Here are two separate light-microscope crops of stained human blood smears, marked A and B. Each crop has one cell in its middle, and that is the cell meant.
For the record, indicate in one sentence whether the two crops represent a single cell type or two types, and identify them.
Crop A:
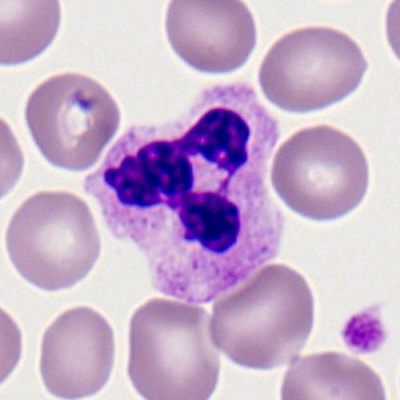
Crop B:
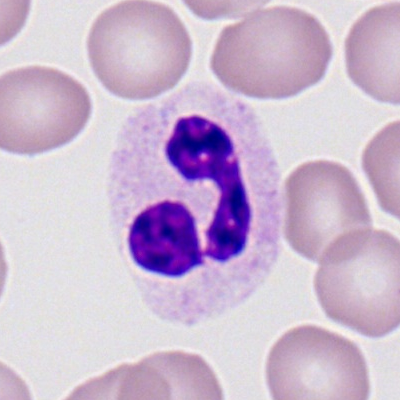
Yes, the cells in the centres of the two crops are segmented neutrophils.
